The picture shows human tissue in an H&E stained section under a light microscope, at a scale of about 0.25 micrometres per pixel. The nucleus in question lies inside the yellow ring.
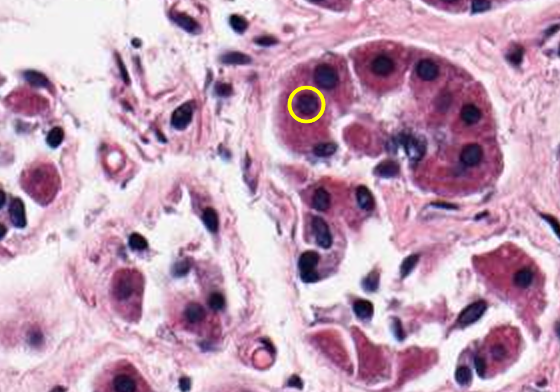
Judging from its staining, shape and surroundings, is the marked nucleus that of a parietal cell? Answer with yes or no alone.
yes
